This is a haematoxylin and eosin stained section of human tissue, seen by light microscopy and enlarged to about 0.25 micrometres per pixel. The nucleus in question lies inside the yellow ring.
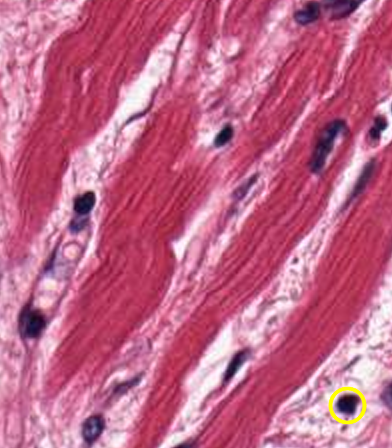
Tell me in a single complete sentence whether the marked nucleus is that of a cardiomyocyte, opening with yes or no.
No, the marked nucleus does not belong to a cardiomyocyte; it belongs to a supporting cell.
